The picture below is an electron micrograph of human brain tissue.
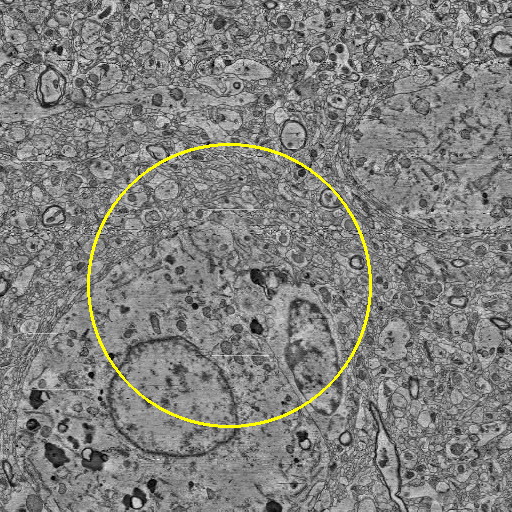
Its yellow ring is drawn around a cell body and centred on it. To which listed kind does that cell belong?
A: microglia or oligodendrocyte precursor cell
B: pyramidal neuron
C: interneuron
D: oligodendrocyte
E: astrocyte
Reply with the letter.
A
